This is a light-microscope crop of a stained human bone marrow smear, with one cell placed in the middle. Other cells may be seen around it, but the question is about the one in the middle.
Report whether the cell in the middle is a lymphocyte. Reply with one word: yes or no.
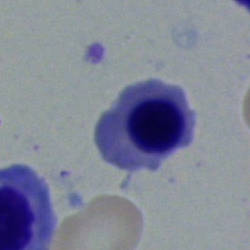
no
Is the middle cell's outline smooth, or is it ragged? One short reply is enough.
The edge is uneven, and this unevenness takes the form of ragged stretches or projections.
